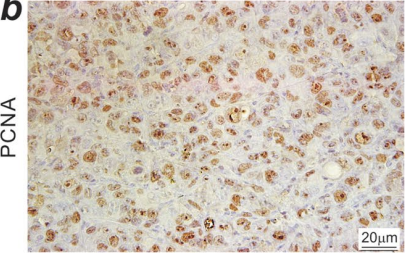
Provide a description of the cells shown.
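Many nuclei are large, round to oval and stained brown, some with coarse granular chromatin, scattered among paler blue-counterstained nuclei. The cytoplasm is pale and ill-defined, with a few small clear vacuoles between cells.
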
